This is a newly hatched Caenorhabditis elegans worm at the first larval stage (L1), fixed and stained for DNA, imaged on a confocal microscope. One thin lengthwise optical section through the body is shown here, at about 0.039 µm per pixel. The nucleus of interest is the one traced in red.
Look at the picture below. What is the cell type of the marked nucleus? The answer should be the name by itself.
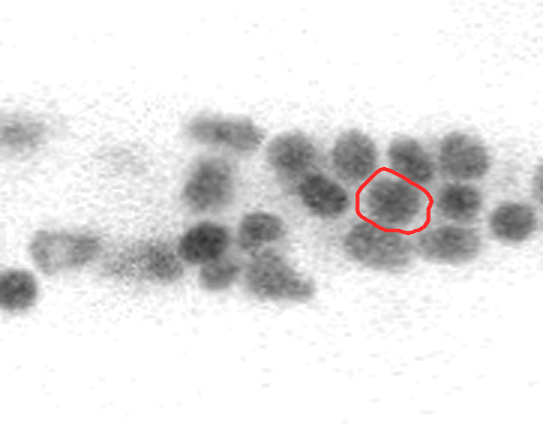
neuron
